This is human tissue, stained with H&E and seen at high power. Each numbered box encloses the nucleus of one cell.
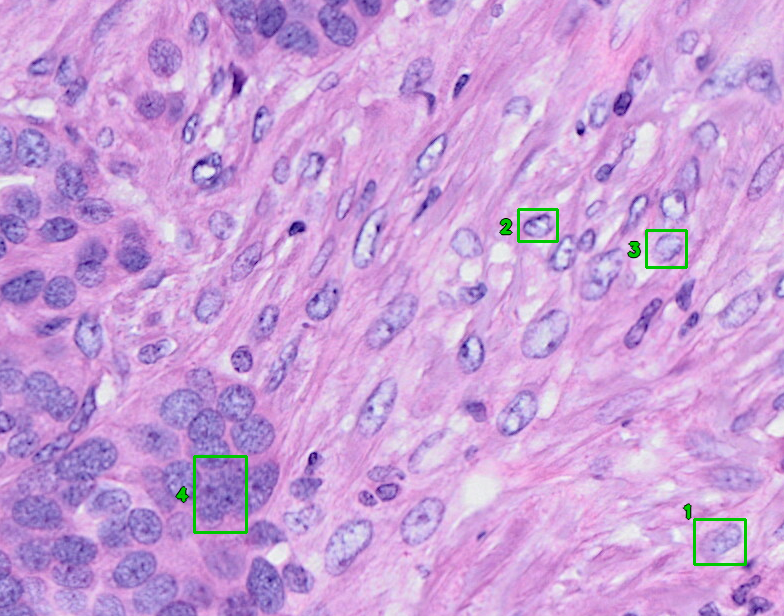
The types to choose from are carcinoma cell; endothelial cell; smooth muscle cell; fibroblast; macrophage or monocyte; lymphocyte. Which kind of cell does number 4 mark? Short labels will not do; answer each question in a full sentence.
The cell numbered 4 has been identified as a carcinoma cell.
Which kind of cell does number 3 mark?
The cell identified by number 3 is a fibroblast.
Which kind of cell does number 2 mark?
Looking at the numbered marks, cell 2 is a fibroblast.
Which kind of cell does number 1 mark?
The numbered cell 1 in this field is a fibroblast.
